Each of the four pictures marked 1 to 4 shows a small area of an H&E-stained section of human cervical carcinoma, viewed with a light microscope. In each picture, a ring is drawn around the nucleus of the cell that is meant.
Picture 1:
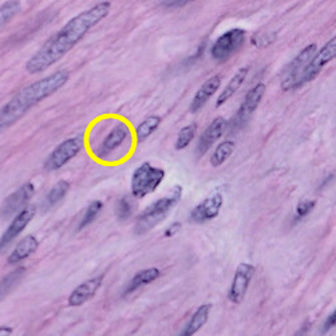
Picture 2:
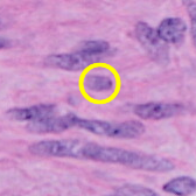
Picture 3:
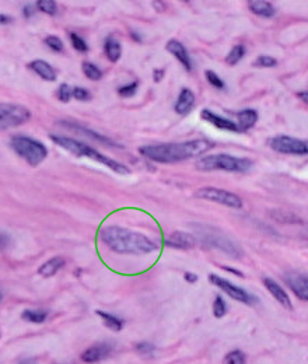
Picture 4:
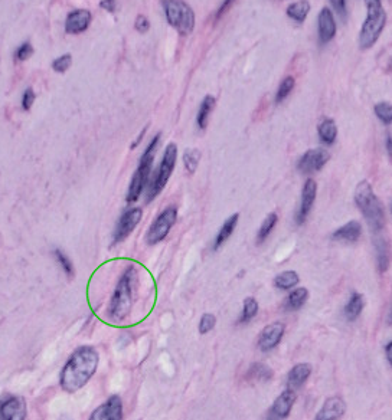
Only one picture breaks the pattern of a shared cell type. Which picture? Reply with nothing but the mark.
4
